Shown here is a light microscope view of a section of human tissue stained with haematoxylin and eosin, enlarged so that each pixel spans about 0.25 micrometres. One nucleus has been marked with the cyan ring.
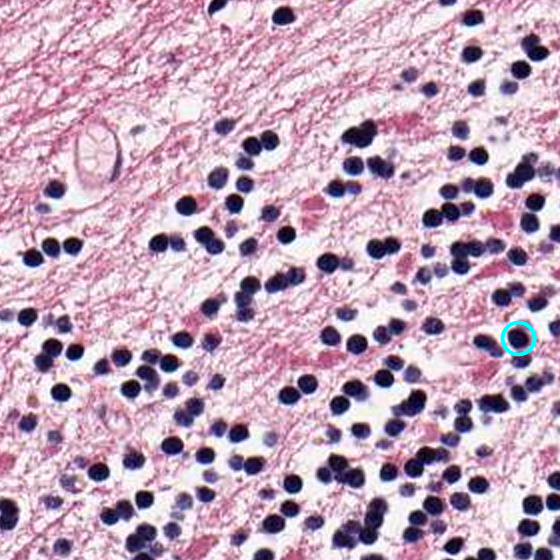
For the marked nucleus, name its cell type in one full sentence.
Within the picture, the marked nucleus belongs to a cerebellar granule cell.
